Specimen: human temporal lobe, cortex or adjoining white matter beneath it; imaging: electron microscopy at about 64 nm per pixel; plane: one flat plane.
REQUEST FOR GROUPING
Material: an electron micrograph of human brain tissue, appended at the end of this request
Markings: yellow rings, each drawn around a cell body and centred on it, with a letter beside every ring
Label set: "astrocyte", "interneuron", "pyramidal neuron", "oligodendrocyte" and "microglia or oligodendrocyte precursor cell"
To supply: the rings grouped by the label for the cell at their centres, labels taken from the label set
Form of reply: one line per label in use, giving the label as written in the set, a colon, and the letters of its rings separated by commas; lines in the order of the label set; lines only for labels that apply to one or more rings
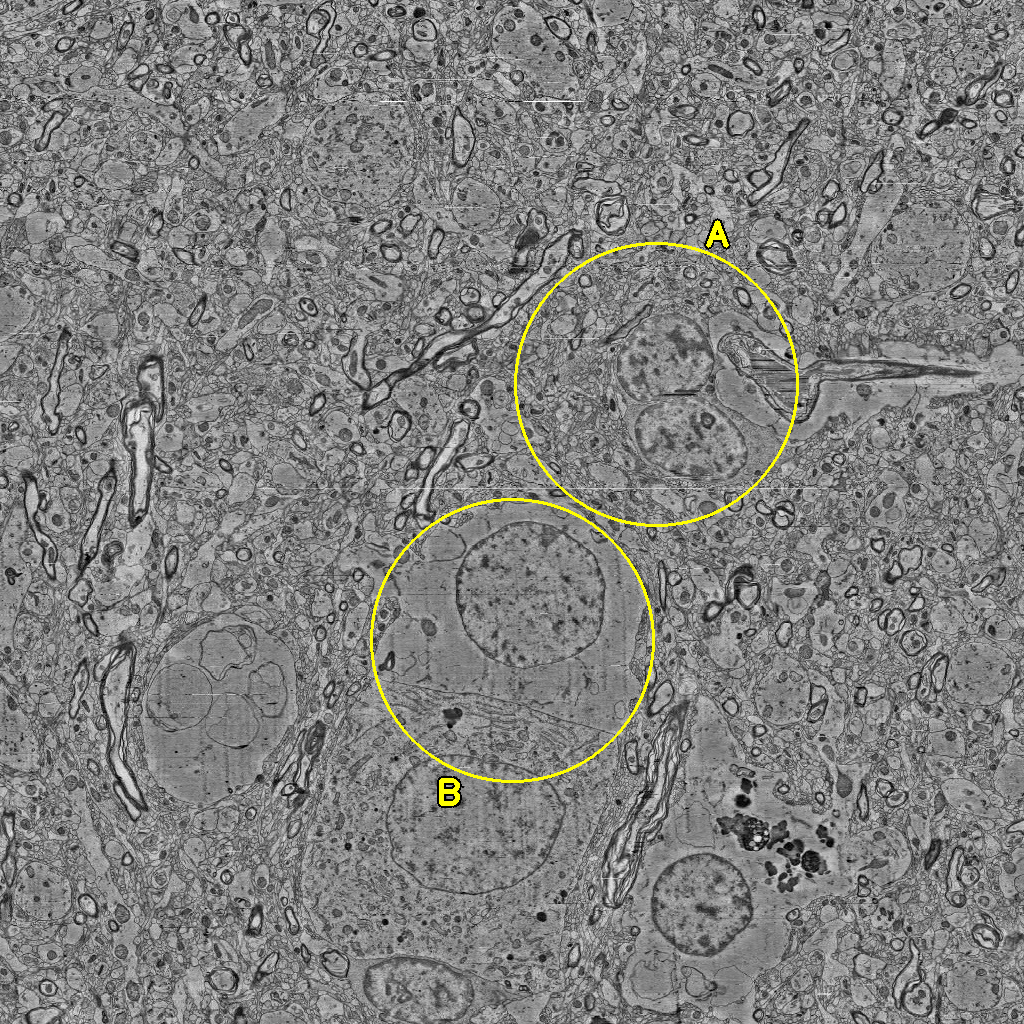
astrocyte: B
oligodendrocyte: A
